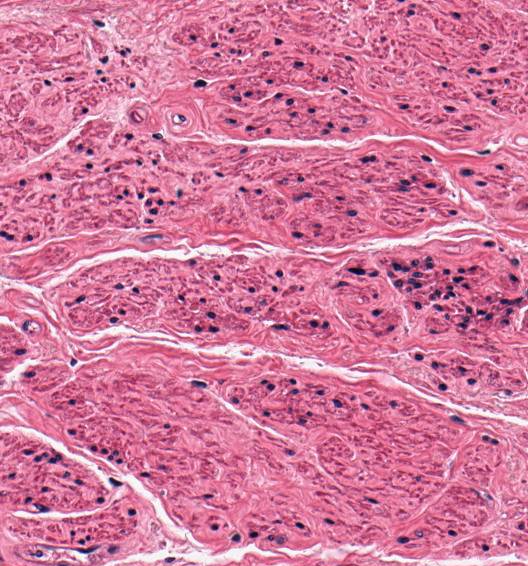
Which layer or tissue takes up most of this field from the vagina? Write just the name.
smooth muscle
